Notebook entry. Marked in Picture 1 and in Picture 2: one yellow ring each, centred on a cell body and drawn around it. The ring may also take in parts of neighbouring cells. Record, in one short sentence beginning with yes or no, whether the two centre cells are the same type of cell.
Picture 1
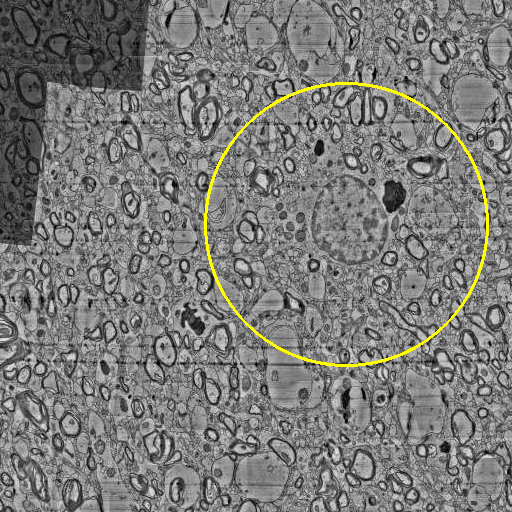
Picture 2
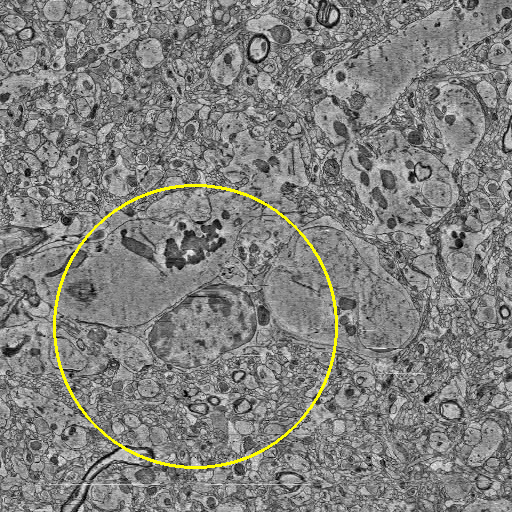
No, they are two types of cell.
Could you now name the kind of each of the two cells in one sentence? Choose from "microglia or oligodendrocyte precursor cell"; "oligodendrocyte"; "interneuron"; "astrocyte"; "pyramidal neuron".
The first ring encloses an oligodendrocyte; the second ring encloses a microglial cell or oligodendrocyte precursor cell.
